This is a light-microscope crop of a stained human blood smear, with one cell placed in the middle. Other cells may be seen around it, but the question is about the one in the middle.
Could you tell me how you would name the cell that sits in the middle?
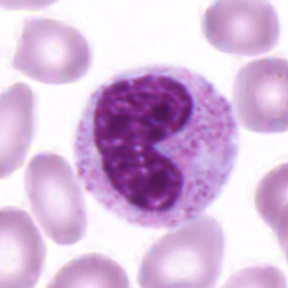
band neutrophil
